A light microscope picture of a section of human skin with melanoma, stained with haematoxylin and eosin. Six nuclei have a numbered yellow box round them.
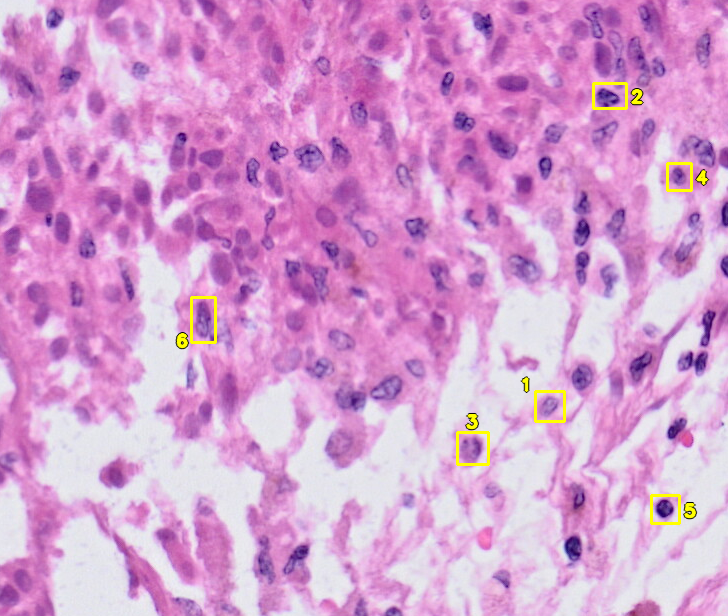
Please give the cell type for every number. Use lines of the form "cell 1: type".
cell 1: macrophage or monocyte
cell 2: lymphocyte
cell 3: macrophage or monocyte
cell 4: macrophage or monocyte
cell 5: lymphocyte
cell 6: macrophage or monocyte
